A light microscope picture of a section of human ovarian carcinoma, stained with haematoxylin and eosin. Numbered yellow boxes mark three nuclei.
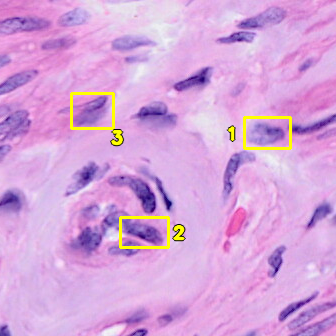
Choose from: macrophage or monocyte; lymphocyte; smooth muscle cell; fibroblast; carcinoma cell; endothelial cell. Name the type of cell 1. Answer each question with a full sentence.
As for number 1, that cell is a smooth muscle cell.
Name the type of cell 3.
In this section, the cell tagged 3 is a smooth muscle cell.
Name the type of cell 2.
Of the numbered cells, the one labelled 2 is an endothelial cell.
